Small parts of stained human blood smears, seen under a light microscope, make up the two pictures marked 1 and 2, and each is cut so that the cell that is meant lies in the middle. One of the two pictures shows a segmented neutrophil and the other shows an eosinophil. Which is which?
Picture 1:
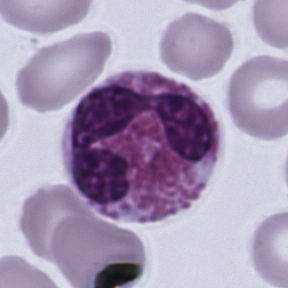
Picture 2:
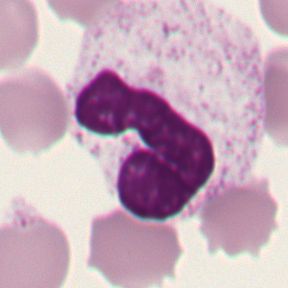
1: eosinophil
2: segmented neutrophil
